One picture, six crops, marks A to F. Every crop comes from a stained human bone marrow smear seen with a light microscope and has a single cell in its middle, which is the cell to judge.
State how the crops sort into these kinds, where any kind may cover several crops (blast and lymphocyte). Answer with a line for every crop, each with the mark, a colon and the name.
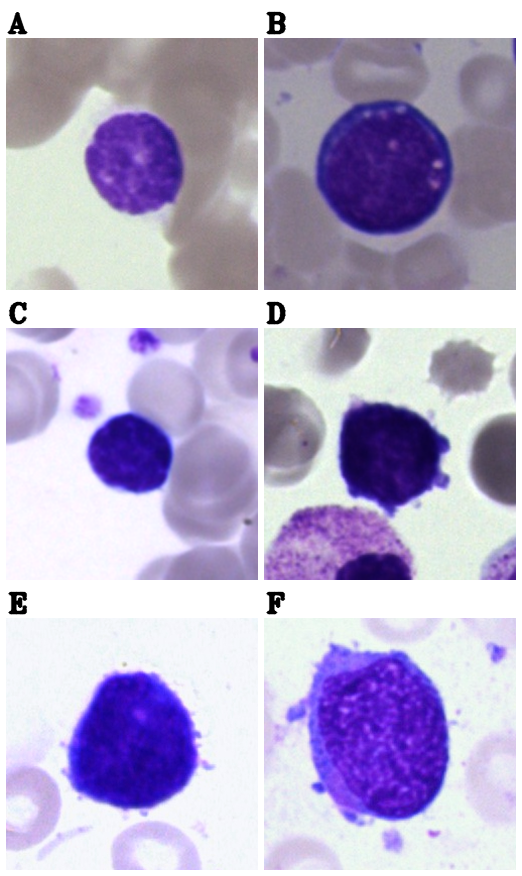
A: lymphocyte
B: blast
C: lymphocyte
D: lymphocyte
E: blast
F: blast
